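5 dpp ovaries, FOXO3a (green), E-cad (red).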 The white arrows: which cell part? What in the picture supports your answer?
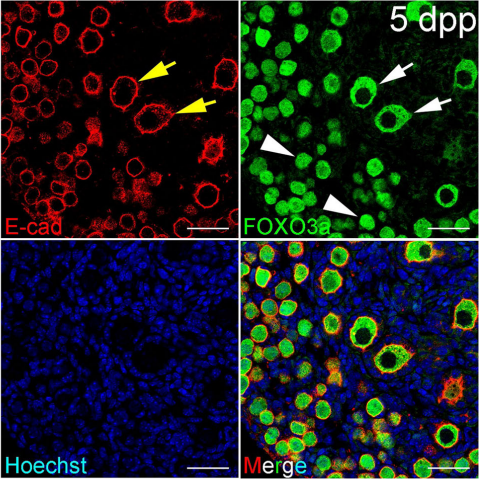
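Cytoplasm. The green at the arrows forms a broad ring. The centre of these cells is dark, unlabelled.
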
